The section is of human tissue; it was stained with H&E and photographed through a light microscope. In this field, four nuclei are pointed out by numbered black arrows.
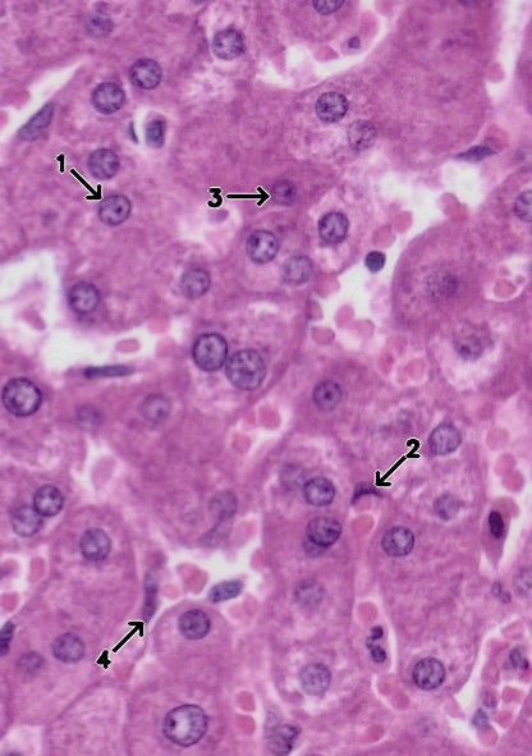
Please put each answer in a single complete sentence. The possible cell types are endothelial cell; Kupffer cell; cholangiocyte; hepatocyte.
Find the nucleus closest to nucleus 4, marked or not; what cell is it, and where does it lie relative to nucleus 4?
Just above nucleus 4 lies the nearest nucleus, which belongs to a Kupffer cell.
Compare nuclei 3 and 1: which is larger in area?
Nucleus 1 is the larger one, covering about 1.5 times the area of nucleus 3.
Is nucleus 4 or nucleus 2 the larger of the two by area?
It is nucleus 2, which covers about 1.5 times the area of nucleus 4.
